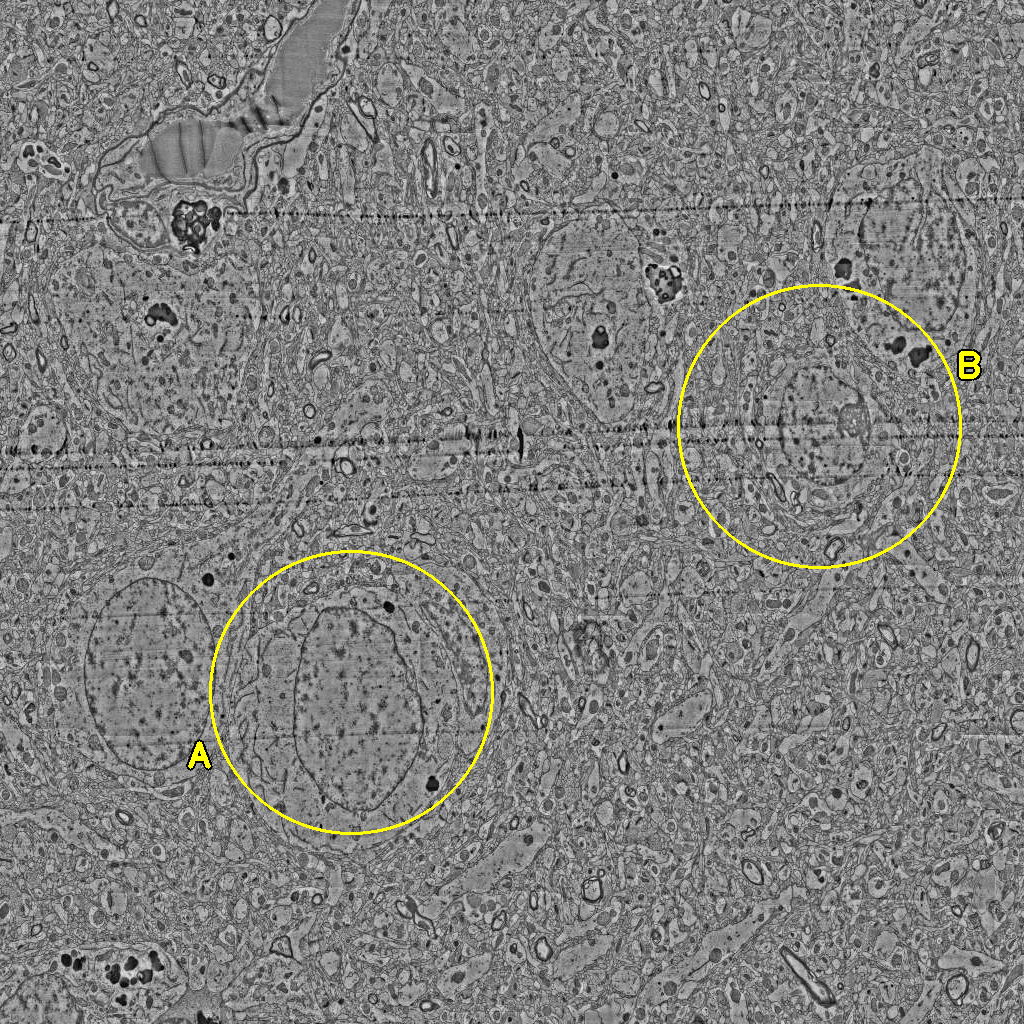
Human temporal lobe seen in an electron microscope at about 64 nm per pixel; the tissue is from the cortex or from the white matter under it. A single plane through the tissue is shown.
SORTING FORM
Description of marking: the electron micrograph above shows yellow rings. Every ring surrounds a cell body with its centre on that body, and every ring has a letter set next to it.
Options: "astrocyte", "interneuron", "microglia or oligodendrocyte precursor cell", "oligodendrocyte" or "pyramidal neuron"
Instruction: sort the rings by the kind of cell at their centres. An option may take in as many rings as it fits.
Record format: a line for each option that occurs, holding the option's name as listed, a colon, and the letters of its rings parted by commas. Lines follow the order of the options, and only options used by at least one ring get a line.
astrocyte: B
pyramidal neuron: A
